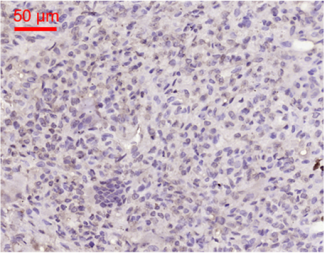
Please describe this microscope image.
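This is tumor tissue made of a solid, crowded sheet of cells with oval to spindle-shaped blue nuclei that vary somewhat in size. The cells have scant cytoplasm, which takes only a faint pale brown tint, and there is little stroma between them.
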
